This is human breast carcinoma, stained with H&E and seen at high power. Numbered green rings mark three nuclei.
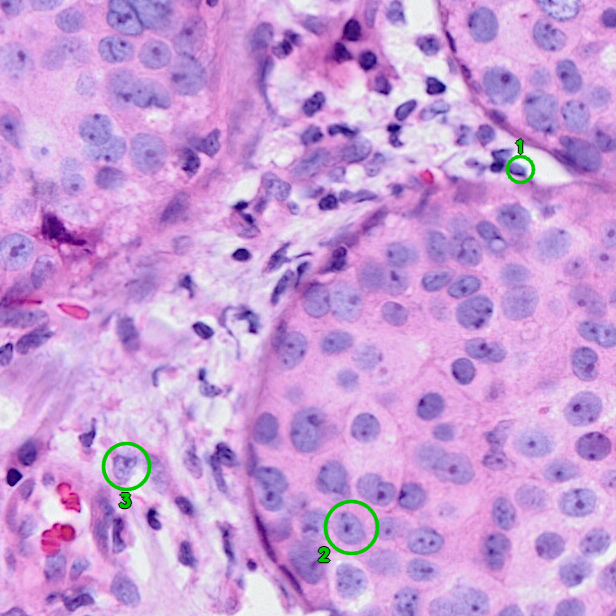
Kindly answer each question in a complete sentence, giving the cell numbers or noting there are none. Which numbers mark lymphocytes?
Only one choice fits: cell 1 is a lymphocyte, and no other.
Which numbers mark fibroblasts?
The cell marked by number 3 is a fibroblast; the other marked cells are not.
